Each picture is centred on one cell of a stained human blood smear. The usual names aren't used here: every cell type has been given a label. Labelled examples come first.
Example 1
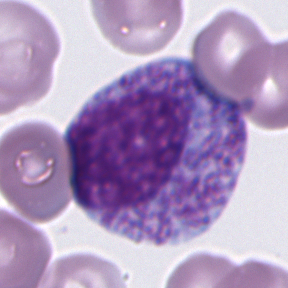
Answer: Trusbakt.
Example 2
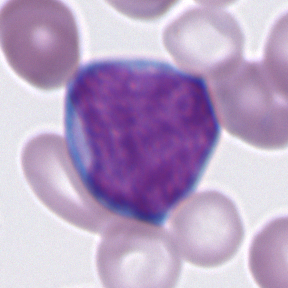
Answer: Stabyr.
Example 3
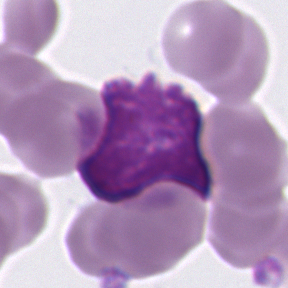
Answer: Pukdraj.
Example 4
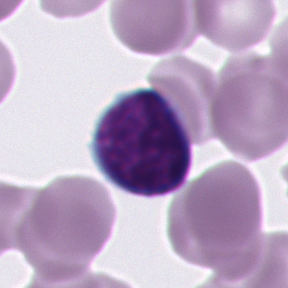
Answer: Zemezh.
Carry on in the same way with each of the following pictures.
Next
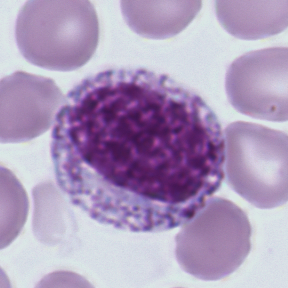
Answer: Trusbakt.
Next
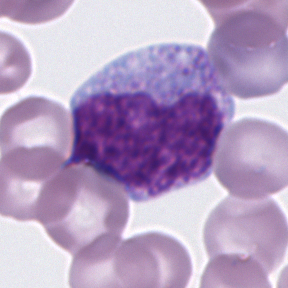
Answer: Trusbakt.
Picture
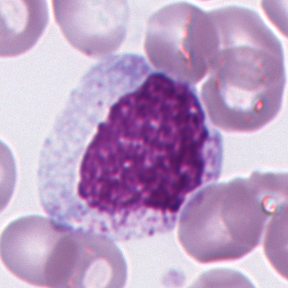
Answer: Trusbakt.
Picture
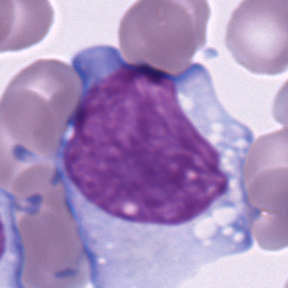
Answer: Stabyr.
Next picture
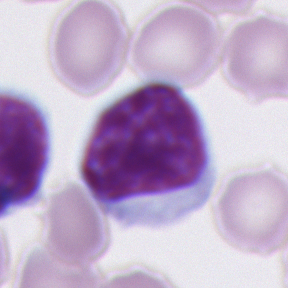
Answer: Zemezh.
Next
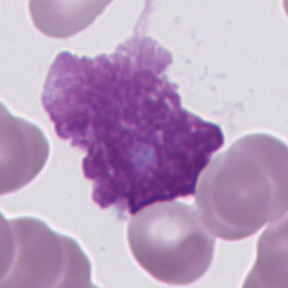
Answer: Pukdraj.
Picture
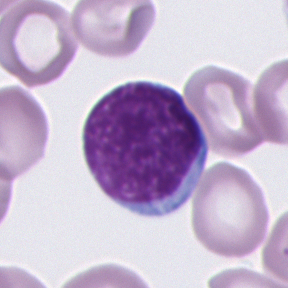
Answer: Stabyr.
